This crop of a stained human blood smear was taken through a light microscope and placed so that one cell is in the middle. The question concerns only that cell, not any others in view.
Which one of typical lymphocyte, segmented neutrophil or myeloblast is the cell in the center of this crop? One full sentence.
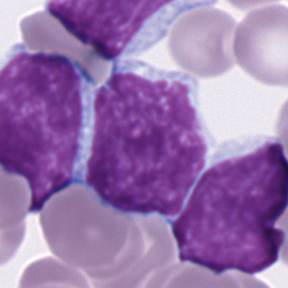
In the central position of this crop, the cell is a typical lymphocyte.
